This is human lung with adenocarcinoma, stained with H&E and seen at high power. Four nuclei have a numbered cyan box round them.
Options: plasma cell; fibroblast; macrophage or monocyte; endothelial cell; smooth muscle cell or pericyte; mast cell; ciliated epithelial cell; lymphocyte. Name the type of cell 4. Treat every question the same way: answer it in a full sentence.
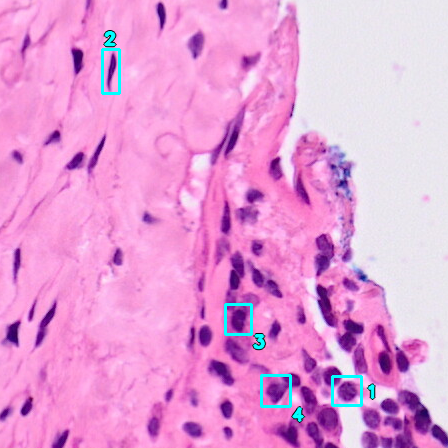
The identity of cell 4 is that of a lymphocyte.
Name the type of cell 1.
The nucleus marked 1 is the nucleus of a lymphocyte.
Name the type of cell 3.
Cell 3 of the marked set is a plasma cell.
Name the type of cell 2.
The cell whose nucleus carries the number 2 is a fibroblast.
